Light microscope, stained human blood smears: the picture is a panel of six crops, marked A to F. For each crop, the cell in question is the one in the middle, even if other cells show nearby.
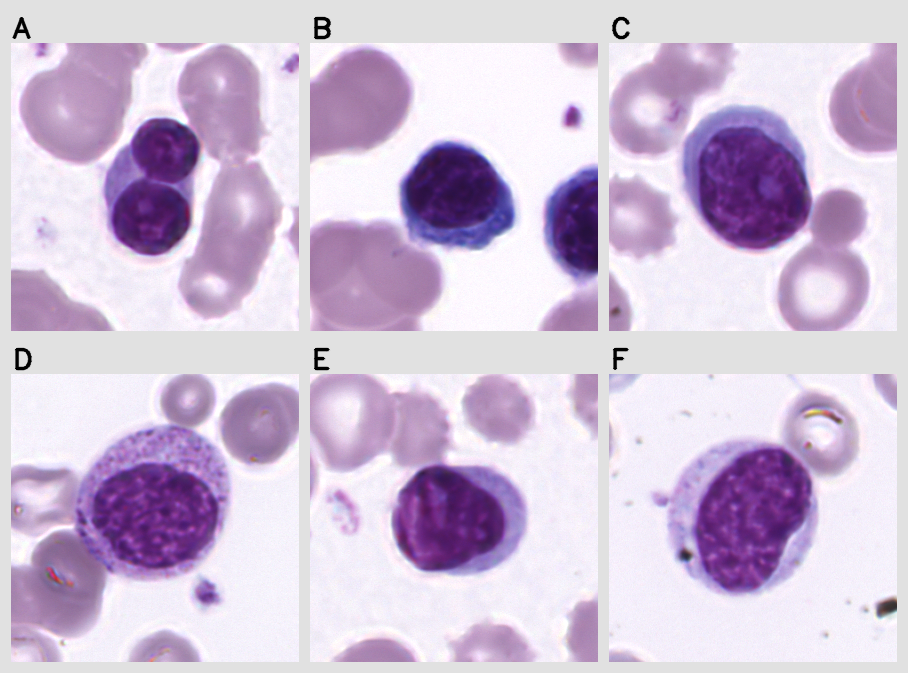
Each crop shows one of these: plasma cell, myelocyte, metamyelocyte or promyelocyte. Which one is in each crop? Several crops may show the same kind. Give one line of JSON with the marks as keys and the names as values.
{"A": "plasma cell", "B": "plasma cell", "C": "plasma cell", "D": "myelocyte", "E": "plasma cell", "F": "metamyelocyte"}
